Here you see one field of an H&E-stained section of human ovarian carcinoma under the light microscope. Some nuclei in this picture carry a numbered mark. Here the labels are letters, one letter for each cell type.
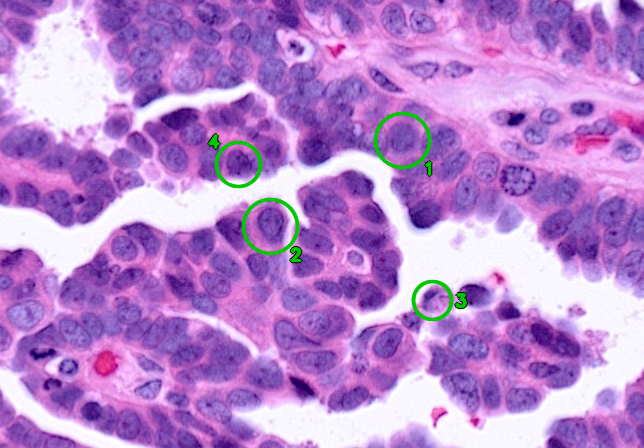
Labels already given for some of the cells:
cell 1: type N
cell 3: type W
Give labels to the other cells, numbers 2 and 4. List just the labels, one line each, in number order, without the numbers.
type N
type N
